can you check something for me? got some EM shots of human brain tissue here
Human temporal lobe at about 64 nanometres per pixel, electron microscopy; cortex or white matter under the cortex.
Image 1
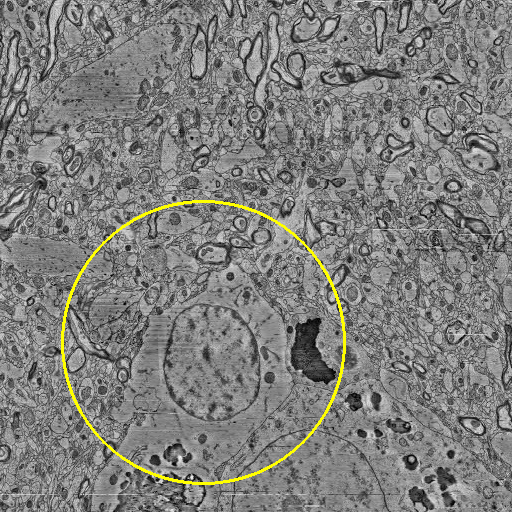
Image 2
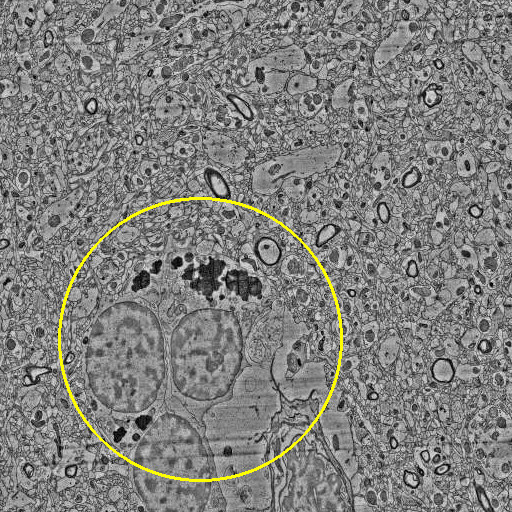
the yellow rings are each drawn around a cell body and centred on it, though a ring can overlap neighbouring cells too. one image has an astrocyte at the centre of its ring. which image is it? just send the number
1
